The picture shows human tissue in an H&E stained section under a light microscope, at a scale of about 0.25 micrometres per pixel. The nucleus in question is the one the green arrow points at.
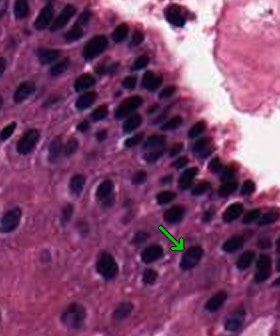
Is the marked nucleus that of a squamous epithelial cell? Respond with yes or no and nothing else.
yes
